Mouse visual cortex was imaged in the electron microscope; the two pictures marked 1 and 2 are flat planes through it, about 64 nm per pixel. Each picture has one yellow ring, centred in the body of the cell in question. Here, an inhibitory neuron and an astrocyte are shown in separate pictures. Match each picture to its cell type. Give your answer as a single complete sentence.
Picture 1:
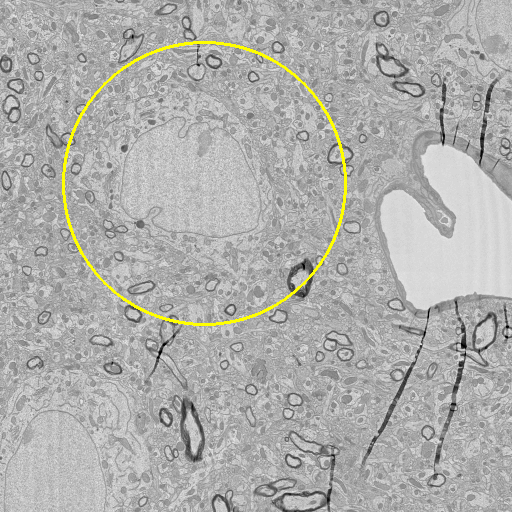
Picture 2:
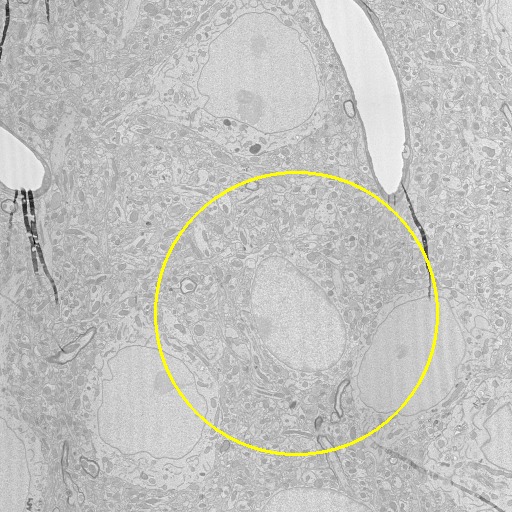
In picture 1 the cell is an inhibitory neuron; in picture 2, an astrocyte.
